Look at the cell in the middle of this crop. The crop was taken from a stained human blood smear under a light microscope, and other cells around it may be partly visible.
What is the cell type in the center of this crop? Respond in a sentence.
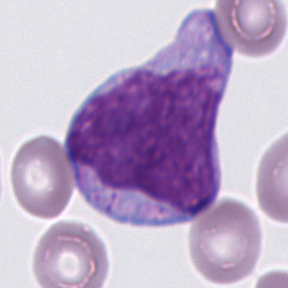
In the center of this field lies an atypical promyelocyte.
